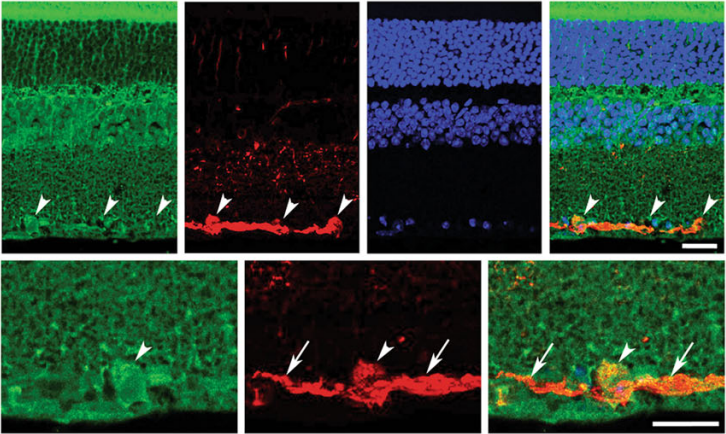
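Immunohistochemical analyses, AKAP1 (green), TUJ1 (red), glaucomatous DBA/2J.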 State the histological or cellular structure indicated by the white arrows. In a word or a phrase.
Axon bundles.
